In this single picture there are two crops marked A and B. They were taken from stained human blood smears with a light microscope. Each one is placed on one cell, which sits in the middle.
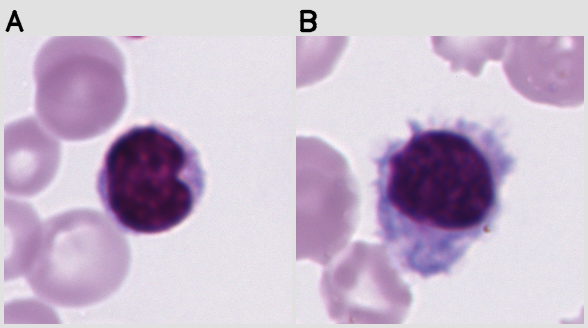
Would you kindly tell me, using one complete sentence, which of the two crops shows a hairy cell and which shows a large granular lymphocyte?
Crop A is a large granular lymphocyte, and crop B is a hairy cell.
